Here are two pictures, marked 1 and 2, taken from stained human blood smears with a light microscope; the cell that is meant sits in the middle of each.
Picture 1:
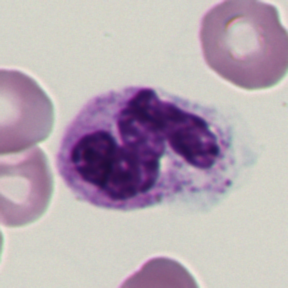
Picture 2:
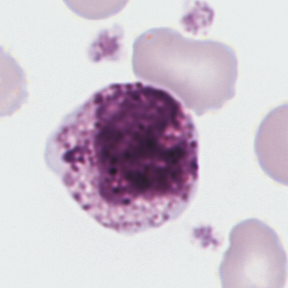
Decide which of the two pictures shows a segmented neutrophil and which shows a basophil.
1: segmented neutrophil
2: basophil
